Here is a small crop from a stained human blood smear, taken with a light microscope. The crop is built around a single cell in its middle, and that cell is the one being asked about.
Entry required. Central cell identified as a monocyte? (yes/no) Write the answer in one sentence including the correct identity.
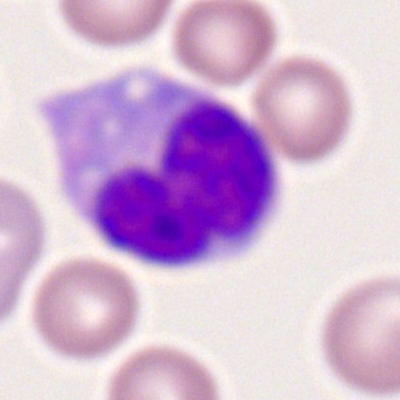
Yes, the central element of the crop is a monocyte.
